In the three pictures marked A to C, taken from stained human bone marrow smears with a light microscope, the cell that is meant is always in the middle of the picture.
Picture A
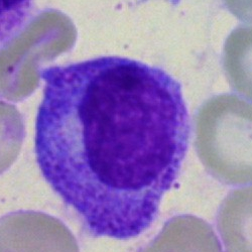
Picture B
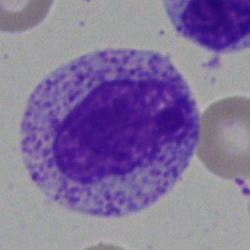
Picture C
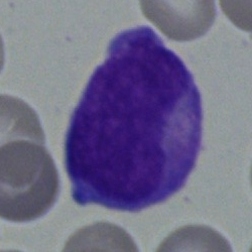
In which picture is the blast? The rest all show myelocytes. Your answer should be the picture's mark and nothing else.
C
